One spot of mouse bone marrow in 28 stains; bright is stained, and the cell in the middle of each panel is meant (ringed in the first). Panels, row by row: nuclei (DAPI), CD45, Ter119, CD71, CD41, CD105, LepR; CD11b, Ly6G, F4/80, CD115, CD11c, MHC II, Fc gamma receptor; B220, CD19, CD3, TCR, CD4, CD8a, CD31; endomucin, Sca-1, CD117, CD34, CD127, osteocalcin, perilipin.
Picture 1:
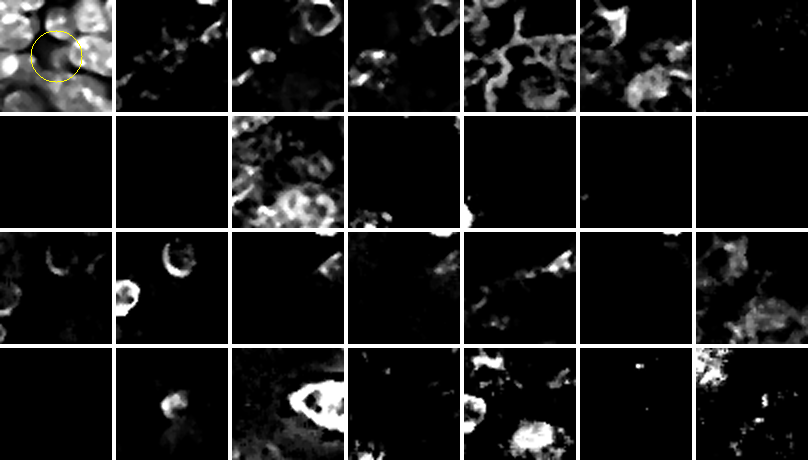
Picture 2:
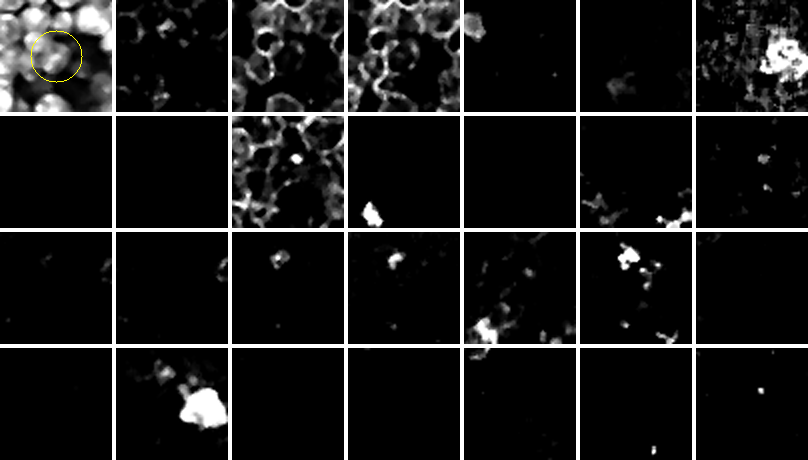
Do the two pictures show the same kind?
No: a KLS stem or progenitor cell, then a LepR-positive perivascular cell.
